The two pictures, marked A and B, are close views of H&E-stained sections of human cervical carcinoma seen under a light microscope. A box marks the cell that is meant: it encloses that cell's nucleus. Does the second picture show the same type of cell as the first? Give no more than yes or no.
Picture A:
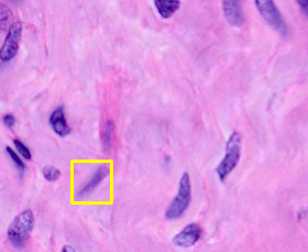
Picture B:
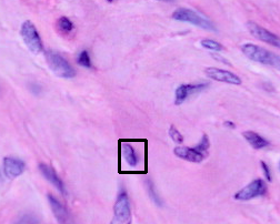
yes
